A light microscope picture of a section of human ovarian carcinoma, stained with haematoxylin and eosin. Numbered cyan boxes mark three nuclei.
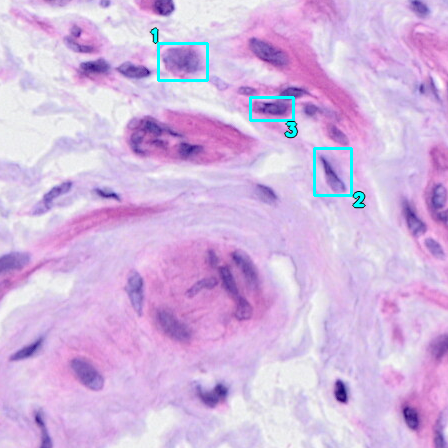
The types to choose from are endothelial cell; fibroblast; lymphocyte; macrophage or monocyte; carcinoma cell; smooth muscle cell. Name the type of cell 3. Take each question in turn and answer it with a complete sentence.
Corresponding to an endothelial cell is the cell labelled 3.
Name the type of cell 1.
The nucleus labeled 1 belongs to a fibroblast.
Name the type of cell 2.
Cell 2 of the marked set is a fibroblast.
